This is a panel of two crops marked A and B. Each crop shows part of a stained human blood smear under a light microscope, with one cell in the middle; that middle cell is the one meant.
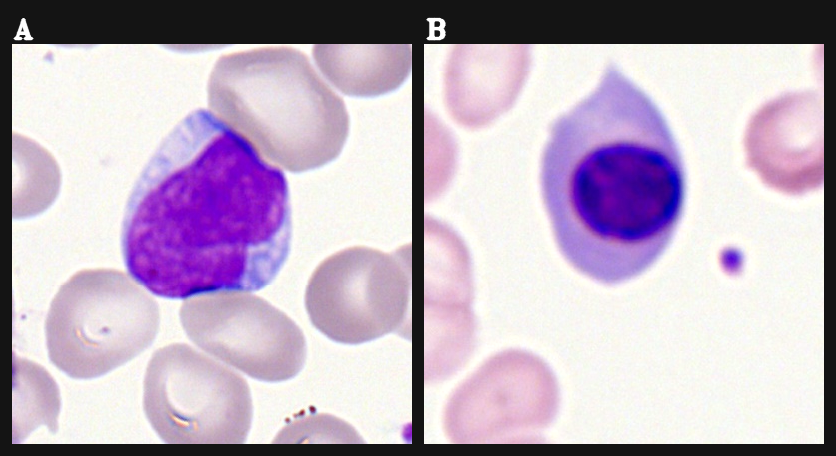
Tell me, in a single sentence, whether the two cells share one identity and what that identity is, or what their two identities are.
No, crop A is home to a myeloblast, and crop B to an erythroblast.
